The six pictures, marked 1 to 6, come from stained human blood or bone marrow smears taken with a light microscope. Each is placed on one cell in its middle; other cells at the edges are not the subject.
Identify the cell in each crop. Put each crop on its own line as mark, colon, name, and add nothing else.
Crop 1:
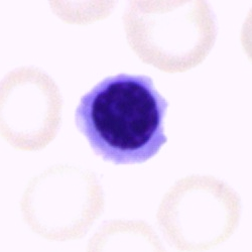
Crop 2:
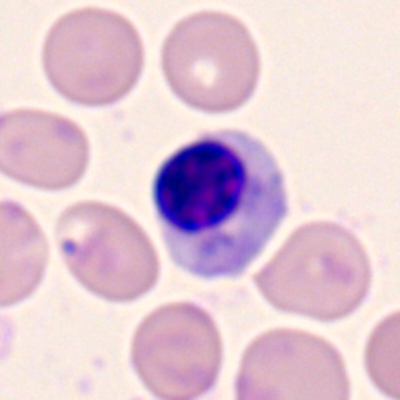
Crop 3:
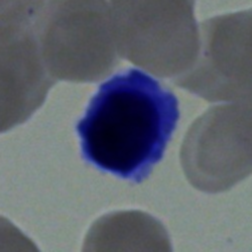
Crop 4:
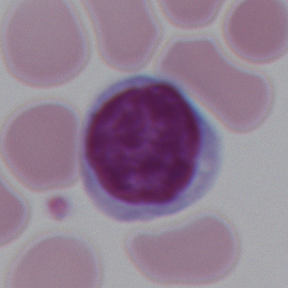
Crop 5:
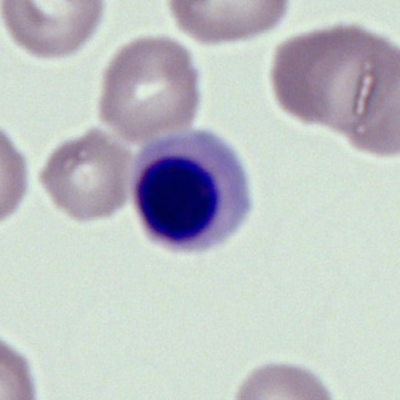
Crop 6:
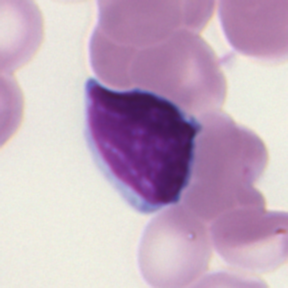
1: erythroblast
2: erythroblast
3: erythroblast
4: lymphocyte
5: erythroblast
6: lymphocyte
